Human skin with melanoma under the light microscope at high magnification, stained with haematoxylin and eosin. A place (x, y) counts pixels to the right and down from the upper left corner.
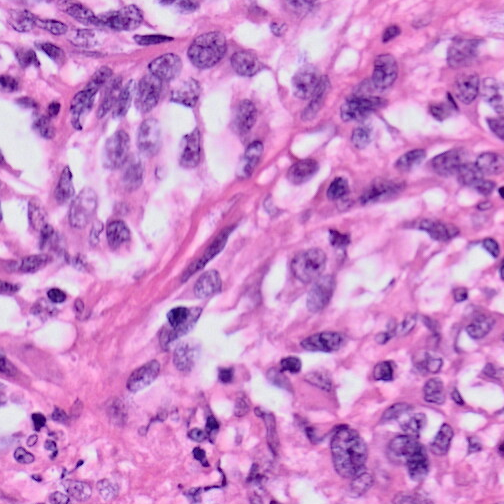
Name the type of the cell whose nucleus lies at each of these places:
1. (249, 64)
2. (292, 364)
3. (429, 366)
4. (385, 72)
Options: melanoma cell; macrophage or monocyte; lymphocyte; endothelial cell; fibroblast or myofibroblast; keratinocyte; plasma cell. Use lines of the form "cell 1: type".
cell 1: melanoma cell
cell 2: lymphocyte
cell 3: melanoma cell
cell 4: melanoma cell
